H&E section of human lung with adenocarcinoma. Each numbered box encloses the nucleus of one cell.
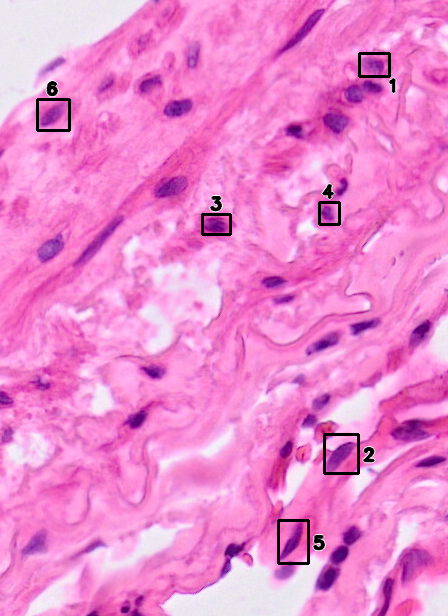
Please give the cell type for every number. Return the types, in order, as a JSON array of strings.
["smooth muscle cell or pericyte", "type I pneumocyte", "smooth muscle cell or pericyte", "smooth muscle cell or pericyte", "endothelial cell", "smooth muscle cell or pericyte"]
